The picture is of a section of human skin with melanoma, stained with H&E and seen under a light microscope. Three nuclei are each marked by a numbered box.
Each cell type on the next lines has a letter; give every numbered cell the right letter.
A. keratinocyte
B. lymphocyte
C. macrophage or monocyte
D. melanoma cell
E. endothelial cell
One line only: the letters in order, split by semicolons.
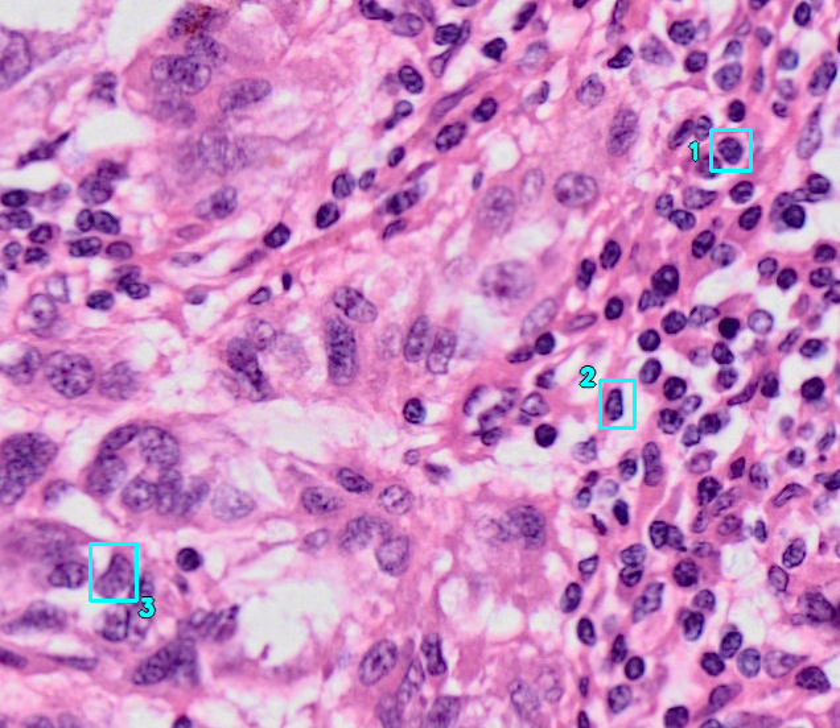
B; B; D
